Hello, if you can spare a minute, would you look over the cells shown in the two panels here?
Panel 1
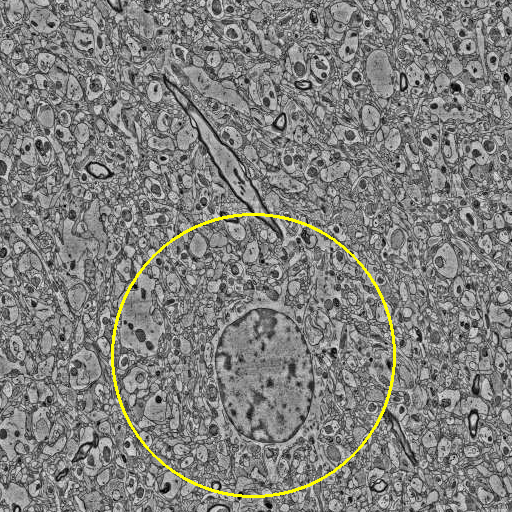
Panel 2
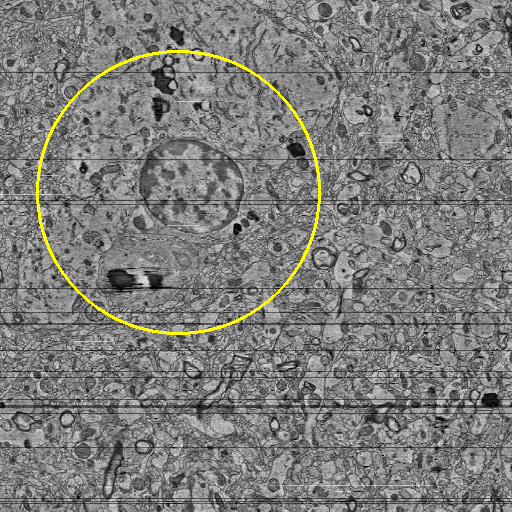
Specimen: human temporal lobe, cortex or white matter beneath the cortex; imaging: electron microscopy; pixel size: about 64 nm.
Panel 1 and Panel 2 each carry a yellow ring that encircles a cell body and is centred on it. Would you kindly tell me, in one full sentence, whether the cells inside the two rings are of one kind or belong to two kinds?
The cells at the centres of the rings in Panel 1 and Panel 2 are of one kind.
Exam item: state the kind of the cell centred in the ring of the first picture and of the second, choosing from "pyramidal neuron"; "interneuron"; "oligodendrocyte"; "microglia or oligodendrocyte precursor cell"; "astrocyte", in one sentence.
Each of the ringed cells, first and second, is a microglial cell or oligodendrocyte precursor cell.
